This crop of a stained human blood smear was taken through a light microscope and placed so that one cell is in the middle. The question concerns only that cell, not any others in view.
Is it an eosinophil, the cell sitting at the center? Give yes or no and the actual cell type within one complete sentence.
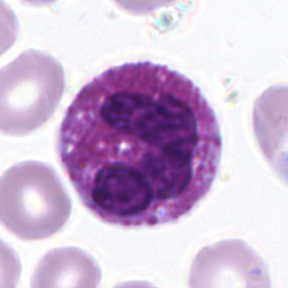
Yes, in the middle of the crop is an eosinophil.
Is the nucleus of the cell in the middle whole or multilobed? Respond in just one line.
You can count two or more lobes in this nucleus.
